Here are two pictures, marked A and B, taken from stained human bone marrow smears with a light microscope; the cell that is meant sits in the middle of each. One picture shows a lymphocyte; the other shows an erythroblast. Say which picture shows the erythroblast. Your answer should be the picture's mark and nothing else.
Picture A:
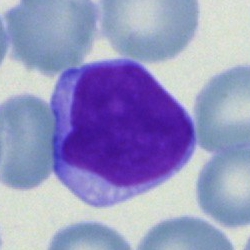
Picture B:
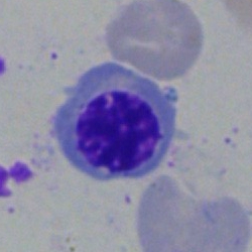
B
